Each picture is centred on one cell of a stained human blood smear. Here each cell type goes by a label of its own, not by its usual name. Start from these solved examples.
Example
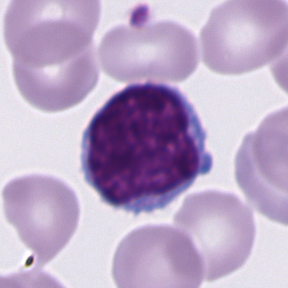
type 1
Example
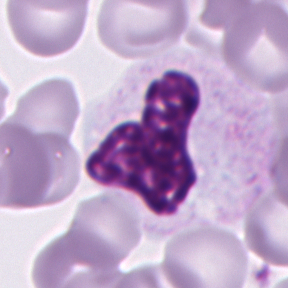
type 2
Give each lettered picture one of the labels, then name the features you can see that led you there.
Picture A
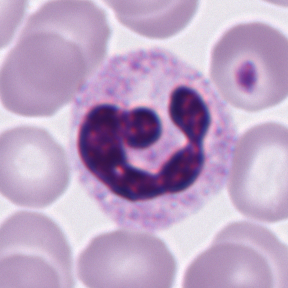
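type 2: The nucleus is a thick curved band that wraps around a pale patch of cytoplasm and opens toward the top.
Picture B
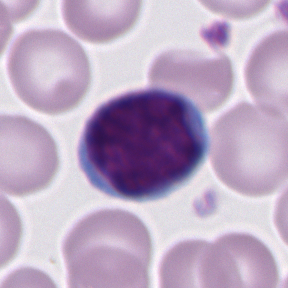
type 1: The cytoplasm forms only a thin rim around the nucleus.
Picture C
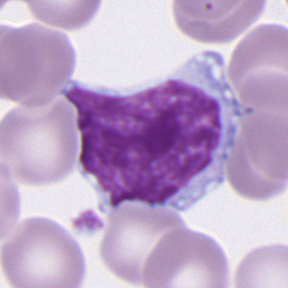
type 1: The nucleus is a single unlobed mass filling most of the cell.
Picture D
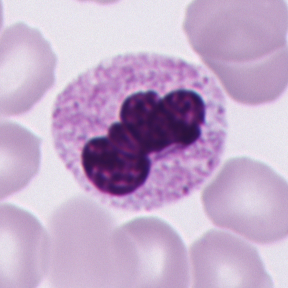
type 2: The chain of nuclear lobes runs diagonally from lower left to upper right.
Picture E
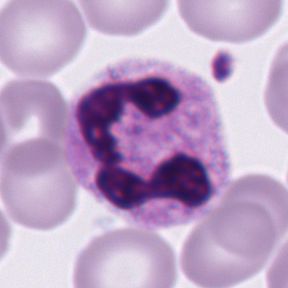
type 2: The nucleus is one continuous curved band shaped like a C that opens toward the right.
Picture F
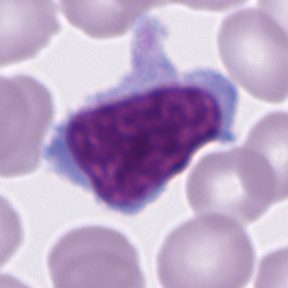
type 1: The cytoplasm is pale blue and forms only a narrow rim around most of the nucleus.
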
